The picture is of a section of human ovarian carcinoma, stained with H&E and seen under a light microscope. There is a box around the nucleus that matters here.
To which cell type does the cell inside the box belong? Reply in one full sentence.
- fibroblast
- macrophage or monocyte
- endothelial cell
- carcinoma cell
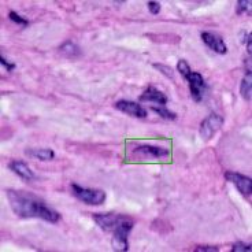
By cell type, the cell inside the box is a fibroblast.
